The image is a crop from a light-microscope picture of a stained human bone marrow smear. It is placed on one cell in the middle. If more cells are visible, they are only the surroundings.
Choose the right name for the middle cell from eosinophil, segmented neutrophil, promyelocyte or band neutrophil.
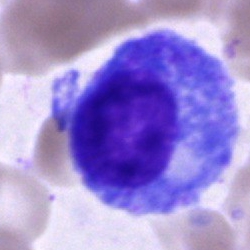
promyelocyte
